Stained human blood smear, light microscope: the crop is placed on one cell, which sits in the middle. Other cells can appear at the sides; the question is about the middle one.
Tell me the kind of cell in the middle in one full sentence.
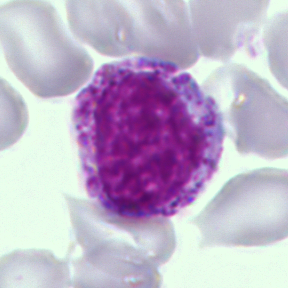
Classification of the middle cell gives a myelocyte.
